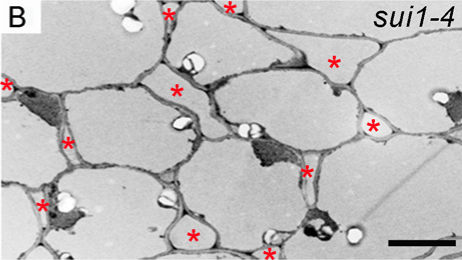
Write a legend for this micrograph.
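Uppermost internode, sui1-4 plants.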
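These are stem parenchyma cells that are smaller and rounded rather than elongated, each filled mostly by a pale vacuole. The cells are loosely packed, so that many small gaps open between their walls at the corners where three or more cells meet, and patches of darker cytoplasm lie along the walls.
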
